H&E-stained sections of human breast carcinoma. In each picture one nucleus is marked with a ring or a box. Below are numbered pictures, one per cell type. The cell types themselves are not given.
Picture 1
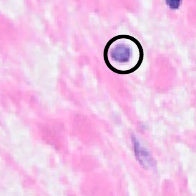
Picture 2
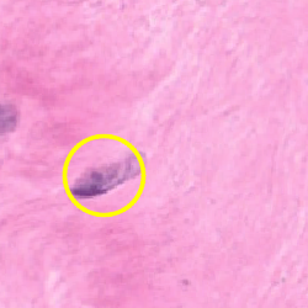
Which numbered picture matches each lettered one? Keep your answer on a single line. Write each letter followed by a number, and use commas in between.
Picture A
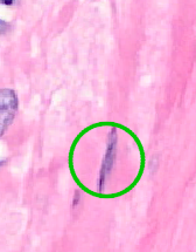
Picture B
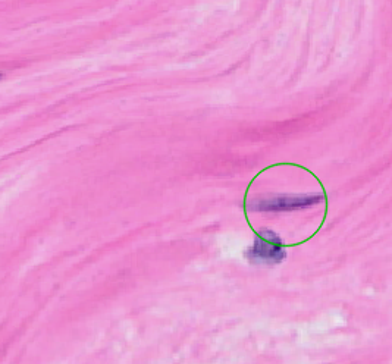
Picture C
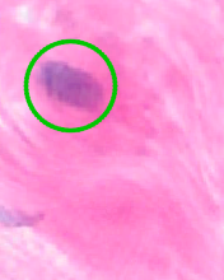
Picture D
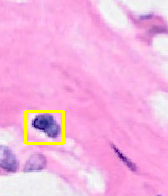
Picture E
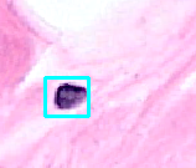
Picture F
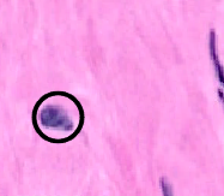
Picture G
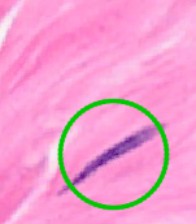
A 2, B 2, C 2, D 1, E 1, F 1, G 2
